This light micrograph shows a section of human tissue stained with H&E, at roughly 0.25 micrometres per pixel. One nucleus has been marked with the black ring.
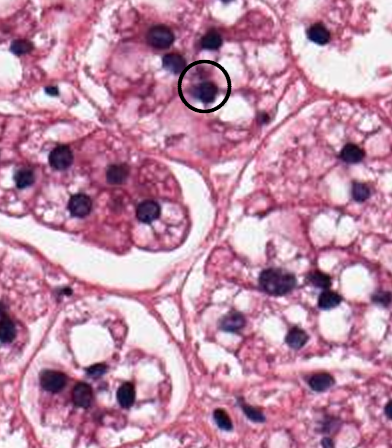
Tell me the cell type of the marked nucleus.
adrenal cortical cell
